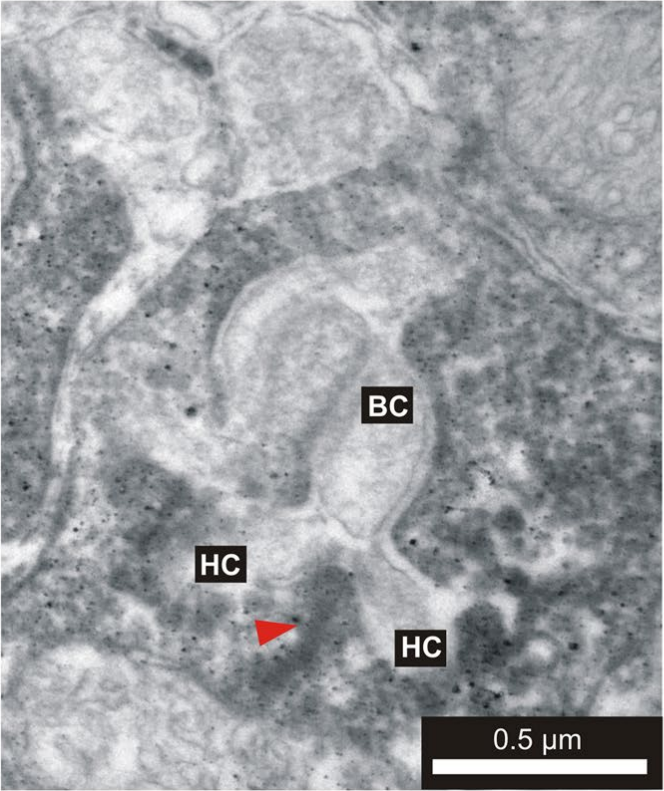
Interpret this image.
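A photoreceptor presynaptic terminal in the outer plexiform layer of the retina occupies the centre as a grey granular profile scattered with small dark particles. Pale processes invaginate deeply into it: a central elongated one and two lateral ones at its lower side. Near the lateral processes a dense bar, the synaptic ribbon, lies in the darker cytoplasm of the terminal. The pale invaginating processes are smooth and show few or no particles. Membranes of neighbouring pale profiles surround the terminal at the edges of the field.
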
